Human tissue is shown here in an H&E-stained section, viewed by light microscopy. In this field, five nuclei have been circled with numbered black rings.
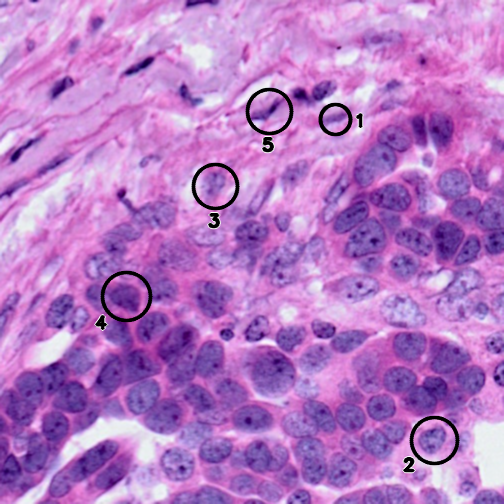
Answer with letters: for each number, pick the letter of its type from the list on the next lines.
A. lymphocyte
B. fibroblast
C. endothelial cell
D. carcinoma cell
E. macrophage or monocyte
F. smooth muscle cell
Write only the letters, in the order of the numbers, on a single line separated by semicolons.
B; E; B; D; B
